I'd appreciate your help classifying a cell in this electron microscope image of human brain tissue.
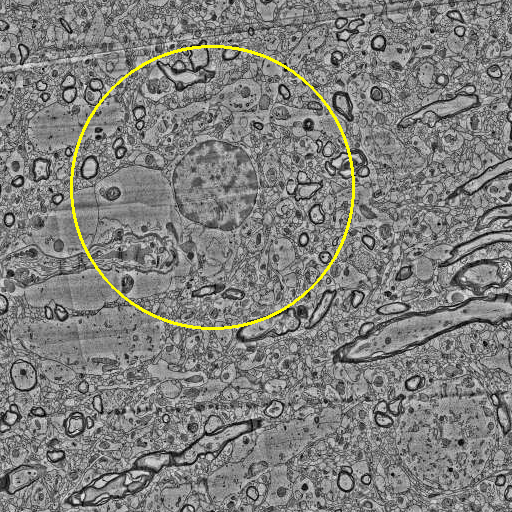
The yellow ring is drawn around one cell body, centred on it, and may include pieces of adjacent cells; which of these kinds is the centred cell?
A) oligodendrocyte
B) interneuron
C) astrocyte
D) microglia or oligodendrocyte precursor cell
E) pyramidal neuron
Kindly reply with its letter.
D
